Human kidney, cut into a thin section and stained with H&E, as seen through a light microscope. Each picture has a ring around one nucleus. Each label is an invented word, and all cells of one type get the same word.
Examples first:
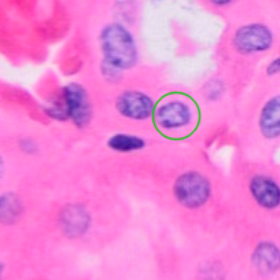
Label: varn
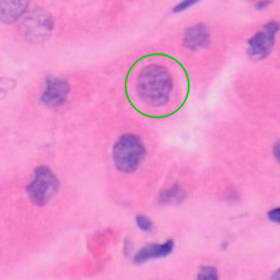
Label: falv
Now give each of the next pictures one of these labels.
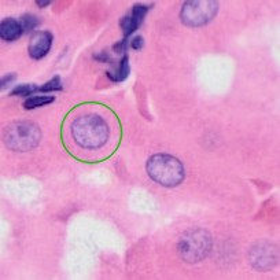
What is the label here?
falv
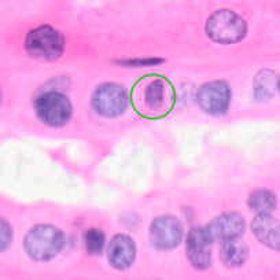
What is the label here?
varn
